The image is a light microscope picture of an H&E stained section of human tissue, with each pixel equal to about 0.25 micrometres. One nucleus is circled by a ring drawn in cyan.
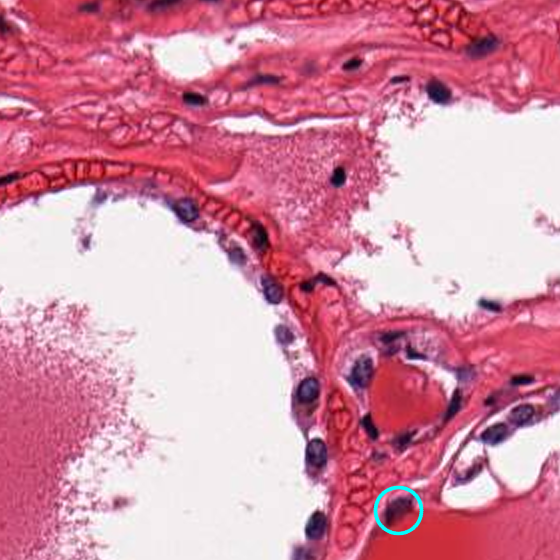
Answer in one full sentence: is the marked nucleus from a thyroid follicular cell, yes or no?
Yes, the marked nucleus is present within a thyroid follicular cell.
